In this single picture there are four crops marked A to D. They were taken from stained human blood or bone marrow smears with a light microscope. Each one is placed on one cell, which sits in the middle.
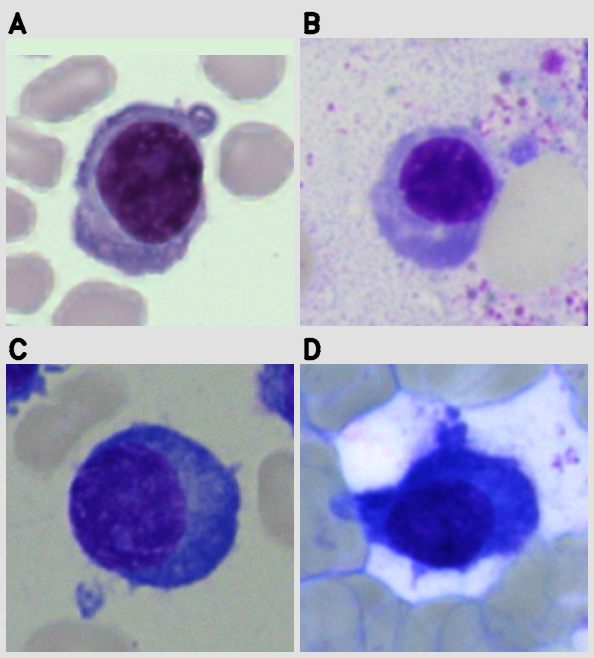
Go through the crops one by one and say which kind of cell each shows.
A: plasma cell
B: erythroblast
C: plasma cell
D: plasma cell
